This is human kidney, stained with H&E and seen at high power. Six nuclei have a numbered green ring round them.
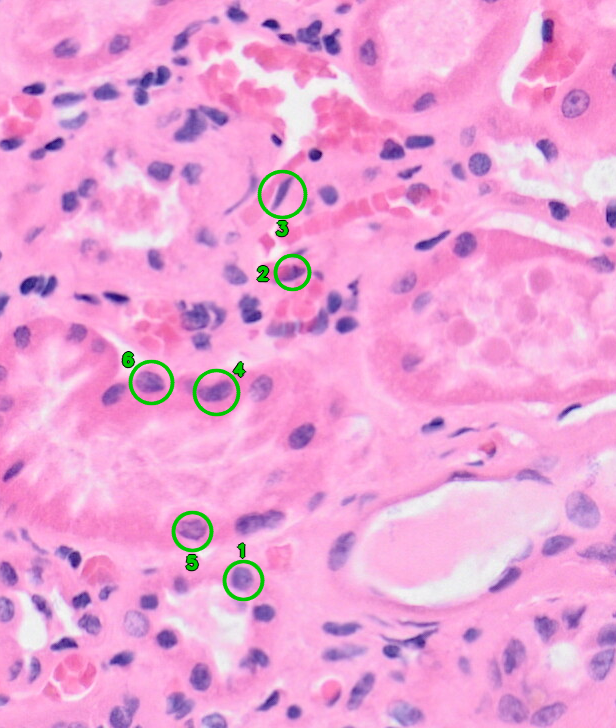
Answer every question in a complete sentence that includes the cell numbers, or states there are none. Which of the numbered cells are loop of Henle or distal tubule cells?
Cell 1 is a loop of Henle or distal tubule cell, and that holds for no other numbered cell.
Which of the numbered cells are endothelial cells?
Classified as endothelial cells are the cells numbered 2 and 3.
